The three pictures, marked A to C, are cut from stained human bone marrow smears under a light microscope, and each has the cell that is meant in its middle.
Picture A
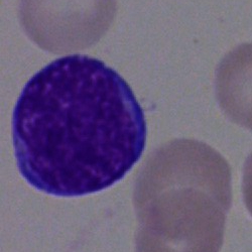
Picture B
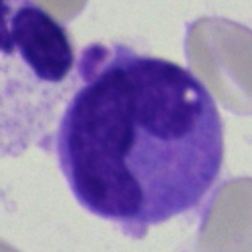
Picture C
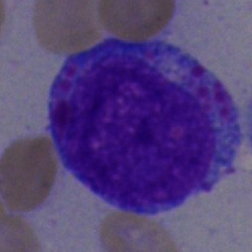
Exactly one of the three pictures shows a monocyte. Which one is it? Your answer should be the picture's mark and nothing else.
B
